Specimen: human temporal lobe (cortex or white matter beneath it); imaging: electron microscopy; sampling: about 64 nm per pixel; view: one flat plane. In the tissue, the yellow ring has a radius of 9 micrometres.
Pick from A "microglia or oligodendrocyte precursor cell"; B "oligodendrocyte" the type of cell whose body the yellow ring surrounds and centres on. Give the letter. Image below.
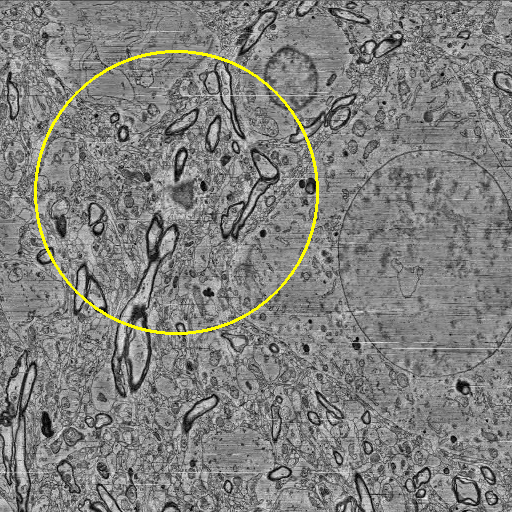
A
